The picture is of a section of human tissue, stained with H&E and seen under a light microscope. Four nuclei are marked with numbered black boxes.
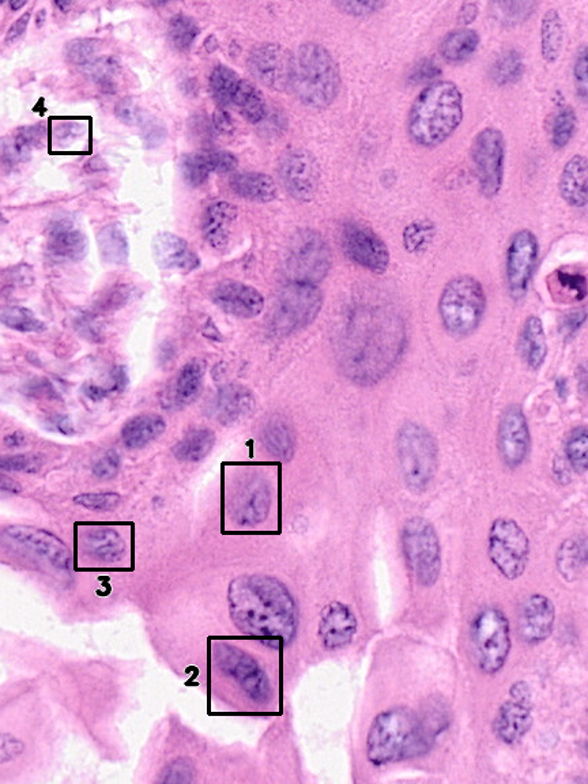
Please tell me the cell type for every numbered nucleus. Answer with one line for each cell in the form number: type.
1: squamous carcinoma cell
2: squamous carcinoma cell
3: squamous carcinoma cell
4: fibroblast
